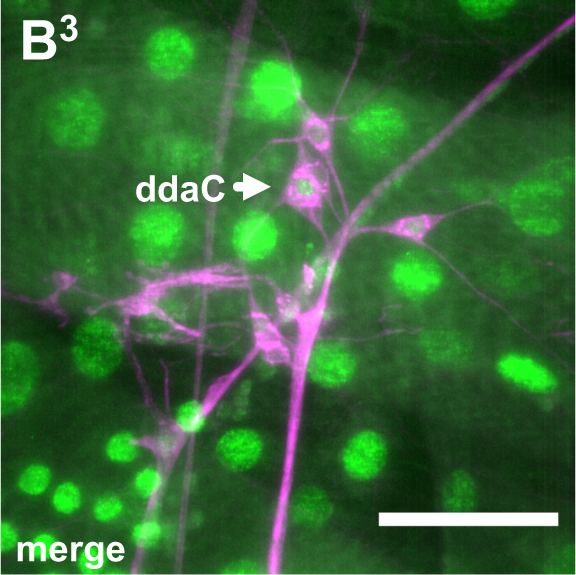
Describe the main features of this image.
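The neuron cell bodies are rounded and outlined in magenta, grouped together near a thick magenta nerve bundle that runs diagonally across the field. Fine magenta processes branch out from the cell bodies in several directions. Faint green can be made out within some of the magenta-outlined cell bodies, showing their nuclei as well.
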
